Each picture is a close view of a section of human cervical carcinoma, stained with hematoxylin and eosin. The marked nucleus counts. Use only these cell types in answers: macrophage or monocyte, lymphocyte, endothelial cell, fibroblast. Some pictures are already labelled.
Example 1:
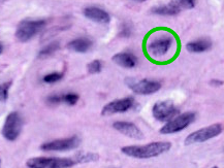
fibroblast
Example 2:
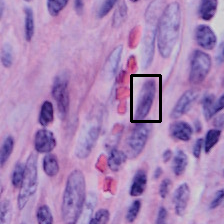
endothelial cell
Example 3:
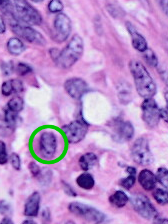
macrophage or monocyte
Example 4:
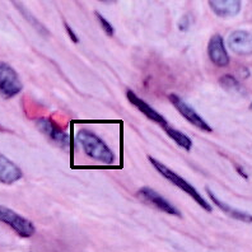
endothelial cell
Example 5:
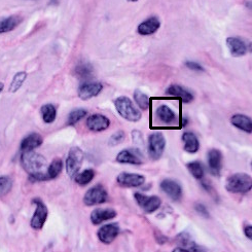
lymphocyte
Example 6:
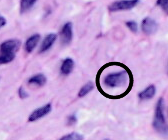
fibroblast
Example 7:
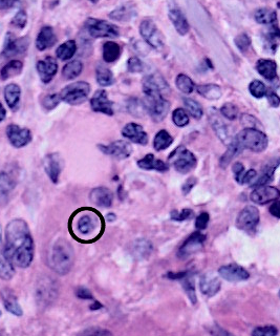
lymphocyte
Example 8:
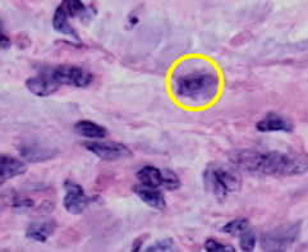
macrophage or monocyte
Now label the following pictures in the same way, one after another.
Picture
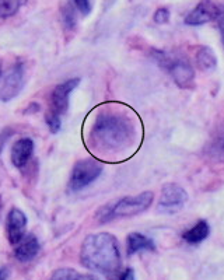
macrophage or monocyte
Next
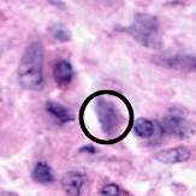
macrophage or monocyte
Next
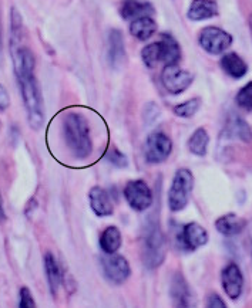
macrophage or monocyte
